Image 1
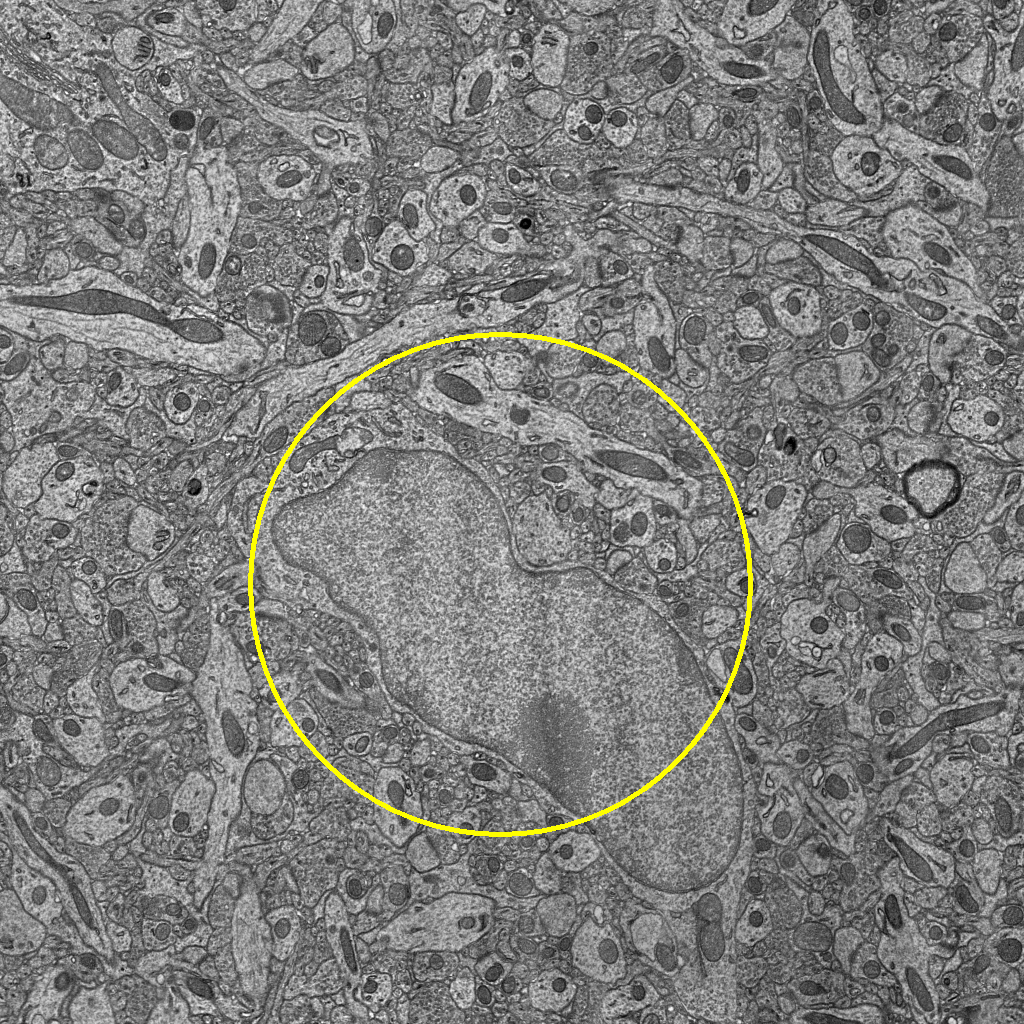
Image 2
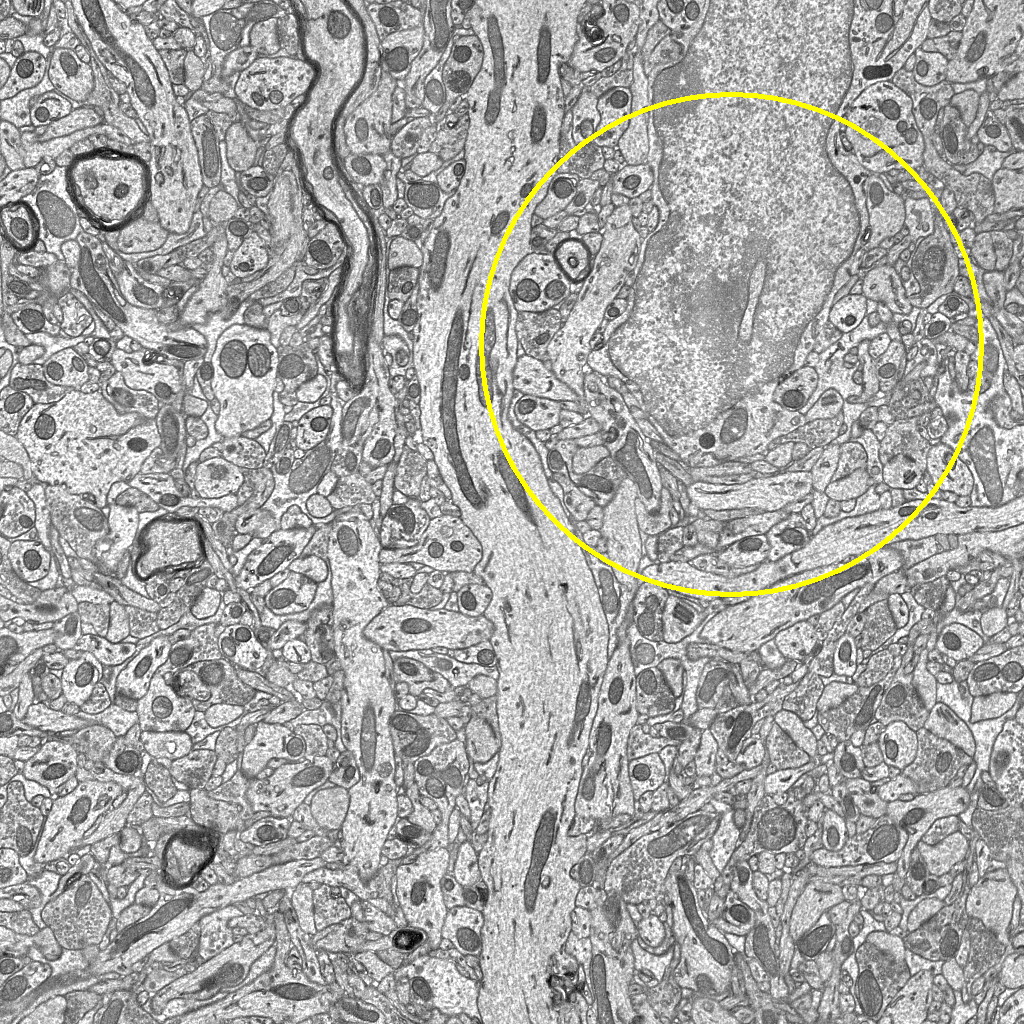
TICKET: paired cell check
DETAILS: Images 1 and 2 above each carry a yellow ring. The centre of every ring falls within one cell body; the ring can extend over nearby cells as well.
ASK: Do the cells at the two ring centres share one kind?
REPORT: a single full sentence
Yes, the cells at the ring centres of Images 1 and 2 belong to a single kind.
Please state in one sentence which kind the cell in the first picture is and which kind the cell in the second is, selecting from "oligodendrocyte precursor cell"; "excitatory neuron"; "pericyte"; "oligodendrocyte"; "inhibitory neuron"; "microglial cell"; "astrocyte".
The second cell is an oligodendrocyte precursor cell, just as the first is.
